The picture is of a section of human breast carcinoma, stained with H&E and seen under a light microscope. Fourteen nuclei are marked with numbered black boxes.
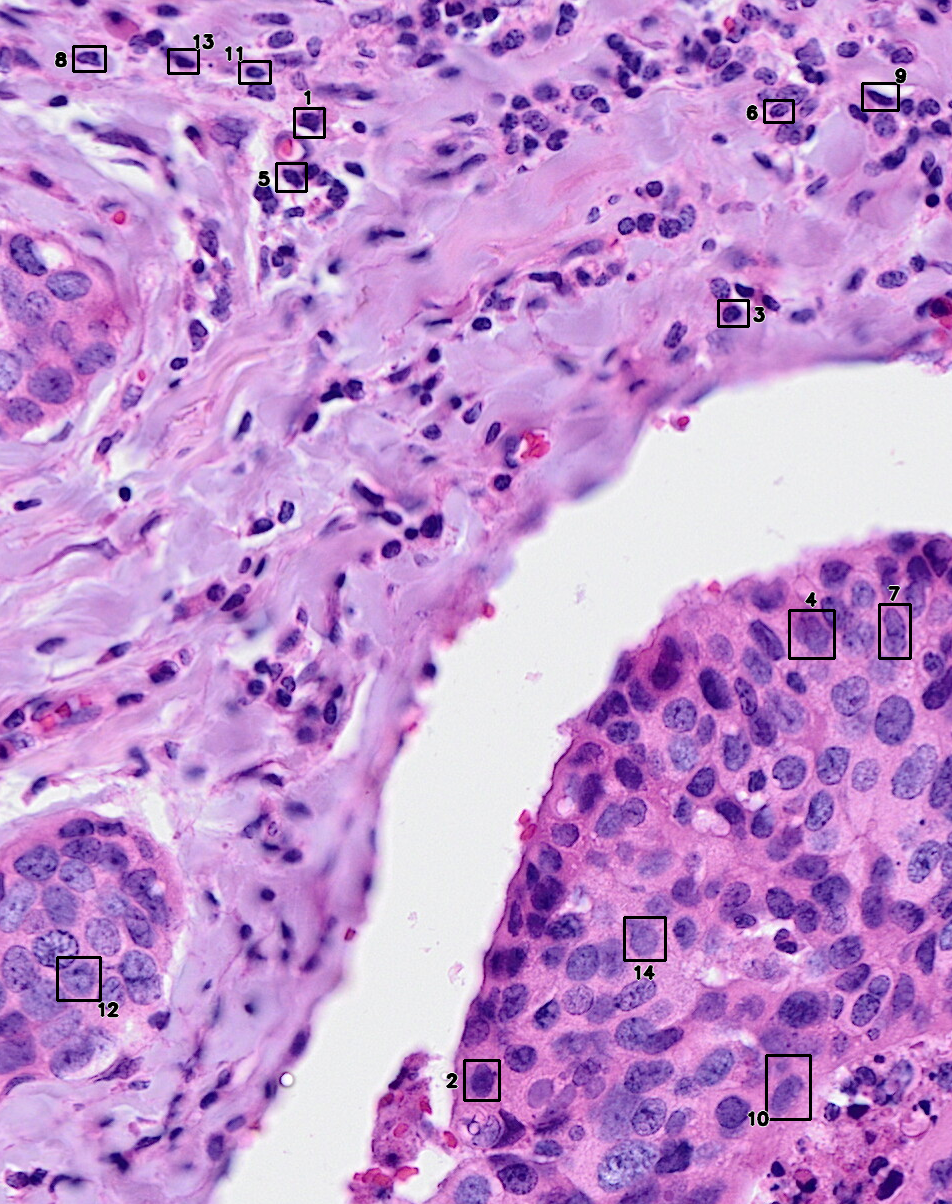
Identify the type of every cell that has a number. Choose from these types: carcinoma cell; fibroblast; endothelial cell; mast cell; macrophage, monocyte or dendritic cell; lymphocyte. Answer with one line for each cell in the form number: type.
1: lymphocyte
2: carcinoma cell
3: lymphocyte
4: carcinoma cell
5: lymphocyte
6: lymphocyte
7: carcinoma cell
8: lymphocyte
9: lymphocyte
10: carcinoma cell
11: lymphocyte
12: carcinoma cell
13: lymphocyte
14: carcinoma cell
